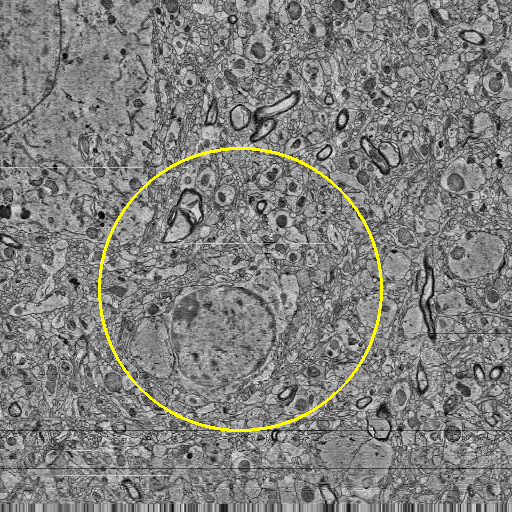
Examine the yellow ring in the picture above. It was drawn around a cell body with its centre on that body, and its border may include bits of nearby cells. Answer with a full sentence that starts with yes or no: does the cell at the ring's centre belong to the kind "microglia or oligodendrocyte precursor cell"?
Yes, the cell at the heart of the ring shown in the image is of that kind.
